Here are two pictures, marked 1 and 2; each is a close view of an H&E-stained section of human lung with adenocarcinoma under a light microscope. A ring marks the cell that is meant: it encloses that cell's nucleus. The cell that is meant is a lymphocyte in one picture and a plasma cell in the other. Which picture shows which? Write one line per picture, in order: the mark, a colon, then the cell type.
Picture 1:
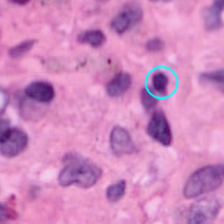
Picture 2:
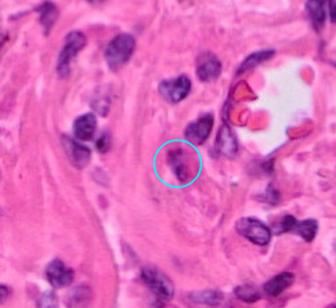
1: lymphocyte
2: plasma cell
